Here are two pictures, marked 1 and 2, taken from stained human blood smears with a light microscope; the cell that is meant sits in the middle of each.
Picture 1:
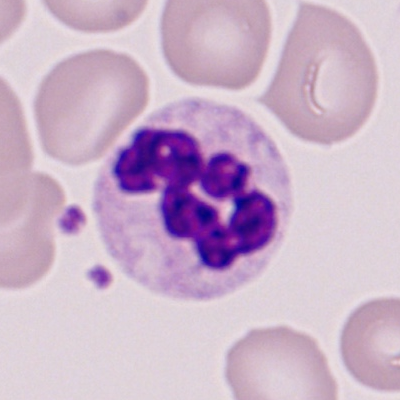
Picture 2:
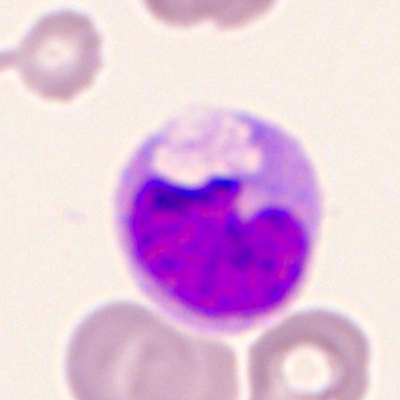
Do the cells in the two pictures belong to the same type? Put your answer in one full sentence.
No, they differ: the cell is a segmented neutrophil in picture 1 and a monocyte in picture 2.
